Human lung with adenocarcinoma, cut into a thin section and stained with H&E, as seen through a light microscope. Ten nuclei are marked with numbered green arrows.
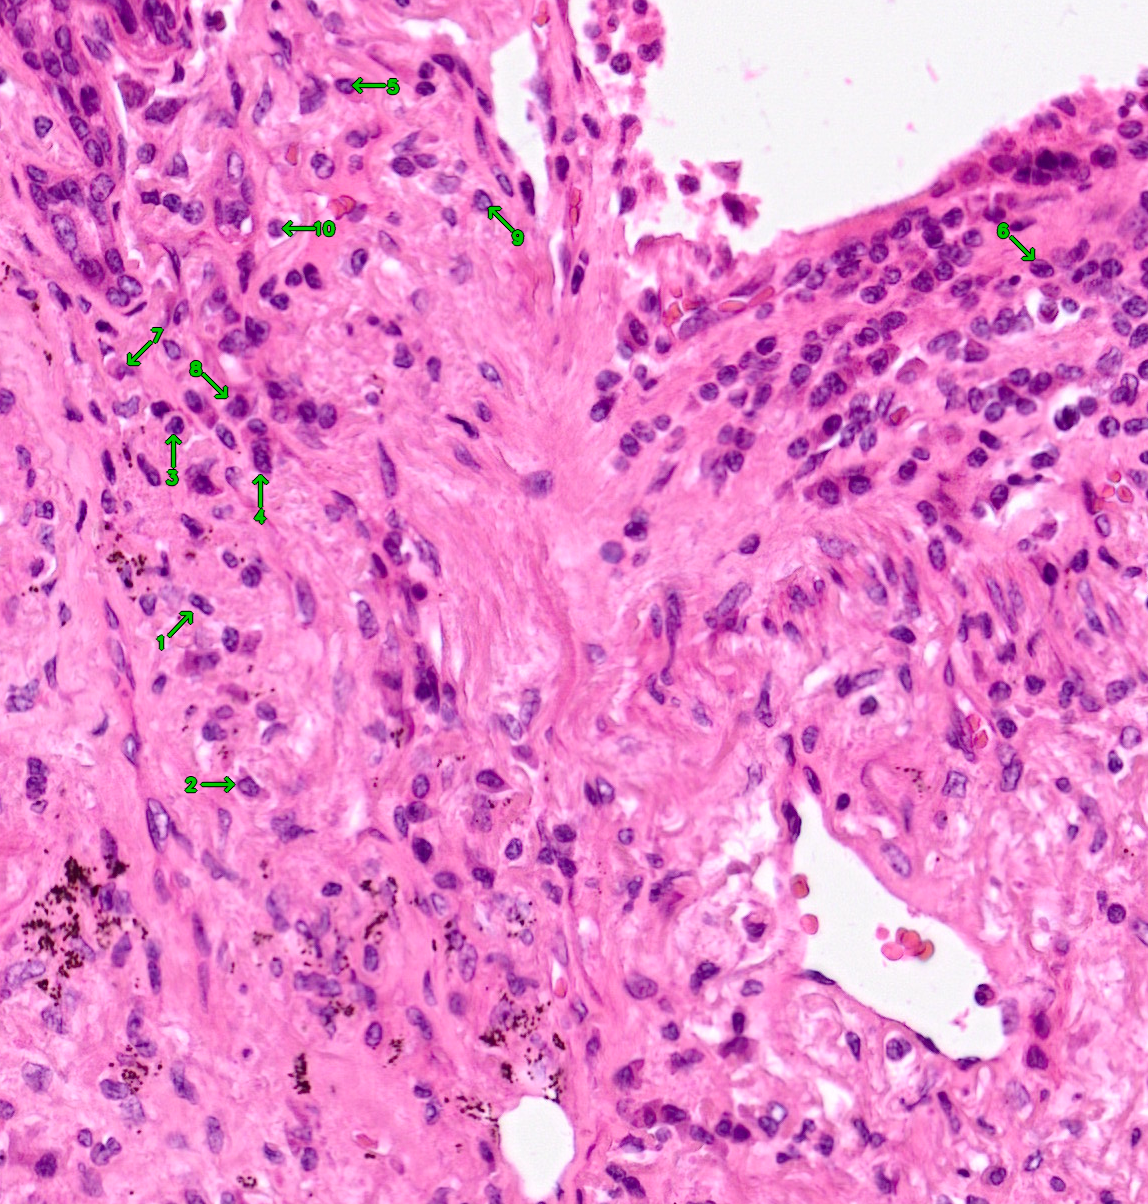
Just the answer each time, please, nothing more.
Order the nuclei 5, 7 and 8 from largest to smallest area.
8, 5, 7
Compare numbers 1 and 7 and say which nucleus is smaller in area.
7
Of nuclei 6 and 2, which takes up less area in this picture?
6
